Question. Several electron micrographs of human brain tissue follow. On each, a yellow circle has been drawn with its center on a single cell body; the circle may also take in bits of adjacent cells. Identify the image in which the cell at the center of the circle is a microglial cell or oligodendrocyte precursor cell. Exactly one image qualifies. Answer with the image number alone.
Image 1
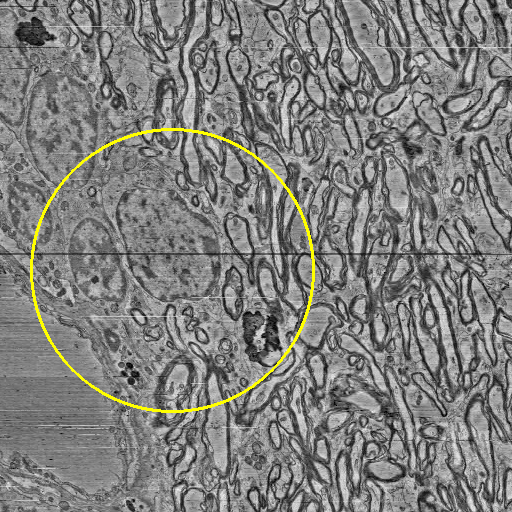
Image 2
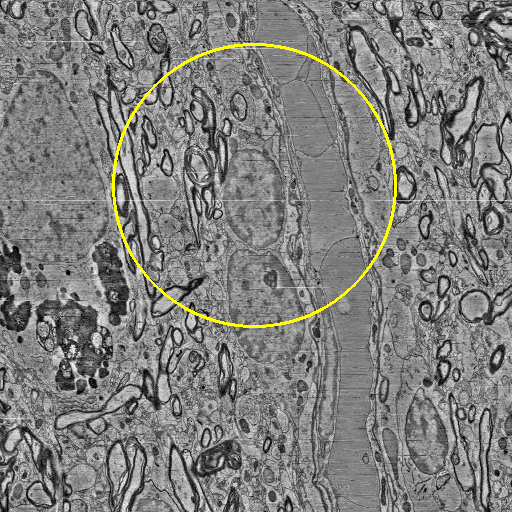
1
